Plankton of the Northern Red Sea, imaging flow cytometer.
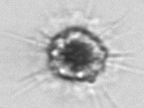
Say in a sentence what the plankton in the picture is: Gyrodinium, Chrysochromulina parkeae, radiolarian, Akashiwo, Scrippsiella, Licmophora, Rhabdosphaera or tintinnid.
This is a radiolarian.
